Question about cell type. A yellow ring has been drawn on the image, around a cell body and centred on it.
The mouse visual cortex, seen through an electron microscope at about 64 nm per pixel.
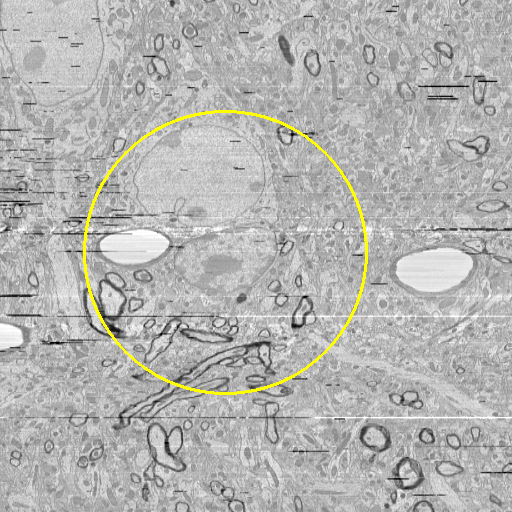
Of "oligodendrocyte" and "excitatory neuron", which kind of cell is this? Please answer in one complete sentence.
At the centre of the ring lies an oligodendrocyte.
